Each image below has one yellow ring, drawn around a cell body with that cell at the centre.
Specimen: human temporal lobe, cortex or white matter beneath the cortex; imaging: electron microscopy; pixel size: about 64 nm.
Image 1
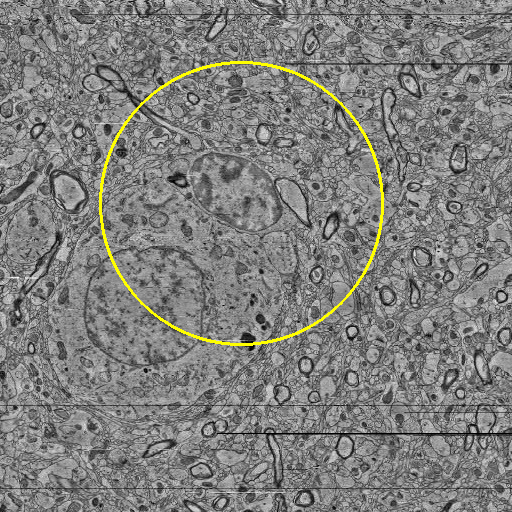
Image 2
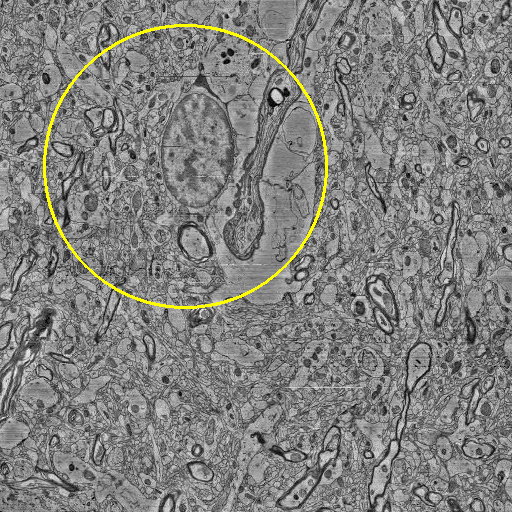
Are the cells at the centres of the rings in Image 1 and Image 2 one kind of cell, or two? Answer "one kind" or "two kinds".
one kind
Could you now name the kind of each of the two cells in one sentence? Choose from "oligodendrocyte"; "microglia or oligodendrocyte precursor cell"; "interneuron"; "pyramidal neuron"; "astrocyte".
The second cell is an oligodendrocyte, just as the first is.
